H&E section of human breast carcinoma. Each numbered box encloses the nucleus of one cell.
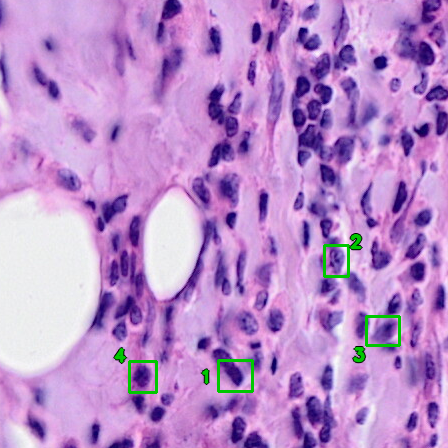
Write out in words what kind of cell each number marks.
Cell 1 is a lymphocyte, cell 2 is a lymphocyte, cell 3 is a lymphocyte and cell 4 is a mast cell.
